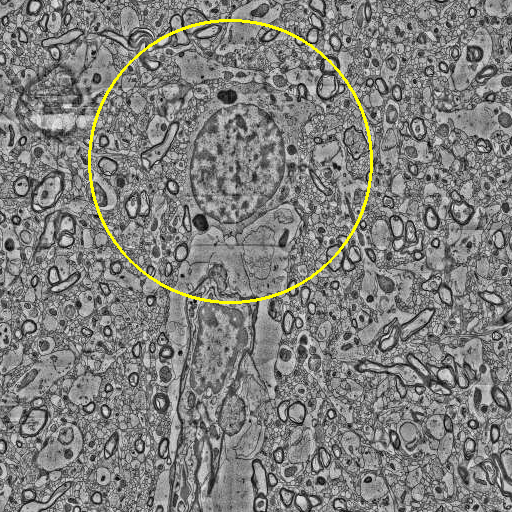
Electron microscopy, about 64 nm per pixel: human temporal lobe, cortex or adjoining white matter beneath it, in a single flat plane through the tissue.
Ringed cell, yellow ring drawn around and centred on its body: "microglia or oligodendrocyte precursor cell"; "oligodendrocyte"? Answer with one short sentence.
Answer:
This ringed cell is an oligodendrocyte.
